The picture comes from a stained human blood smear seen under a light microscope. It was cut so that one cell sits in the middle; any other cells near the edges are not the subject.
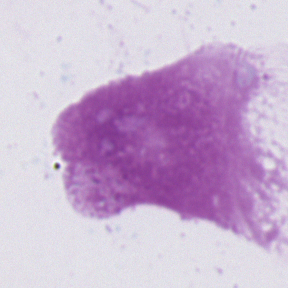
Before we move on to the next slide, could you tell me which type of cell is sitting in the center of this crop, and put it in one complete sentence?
The crop centres on a single cell, and that cell is a smudge cell.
